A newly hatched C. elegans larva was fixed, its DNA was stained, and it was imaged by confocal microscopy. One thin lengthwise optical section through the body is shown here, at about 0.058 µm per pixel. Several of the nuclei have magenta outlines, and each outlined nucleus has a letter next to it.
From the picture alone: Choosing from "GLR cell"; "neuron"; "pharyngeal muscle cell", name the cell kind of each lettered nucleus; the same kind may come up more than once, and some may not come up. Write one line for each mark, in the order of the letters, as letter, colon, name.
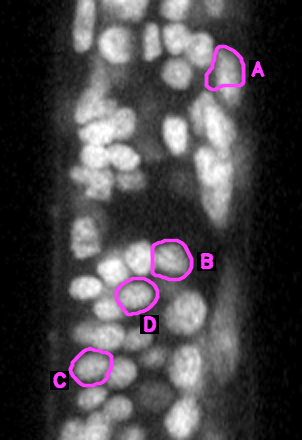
A: neuron
B: GLR cell
C: neuron
D: neuron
